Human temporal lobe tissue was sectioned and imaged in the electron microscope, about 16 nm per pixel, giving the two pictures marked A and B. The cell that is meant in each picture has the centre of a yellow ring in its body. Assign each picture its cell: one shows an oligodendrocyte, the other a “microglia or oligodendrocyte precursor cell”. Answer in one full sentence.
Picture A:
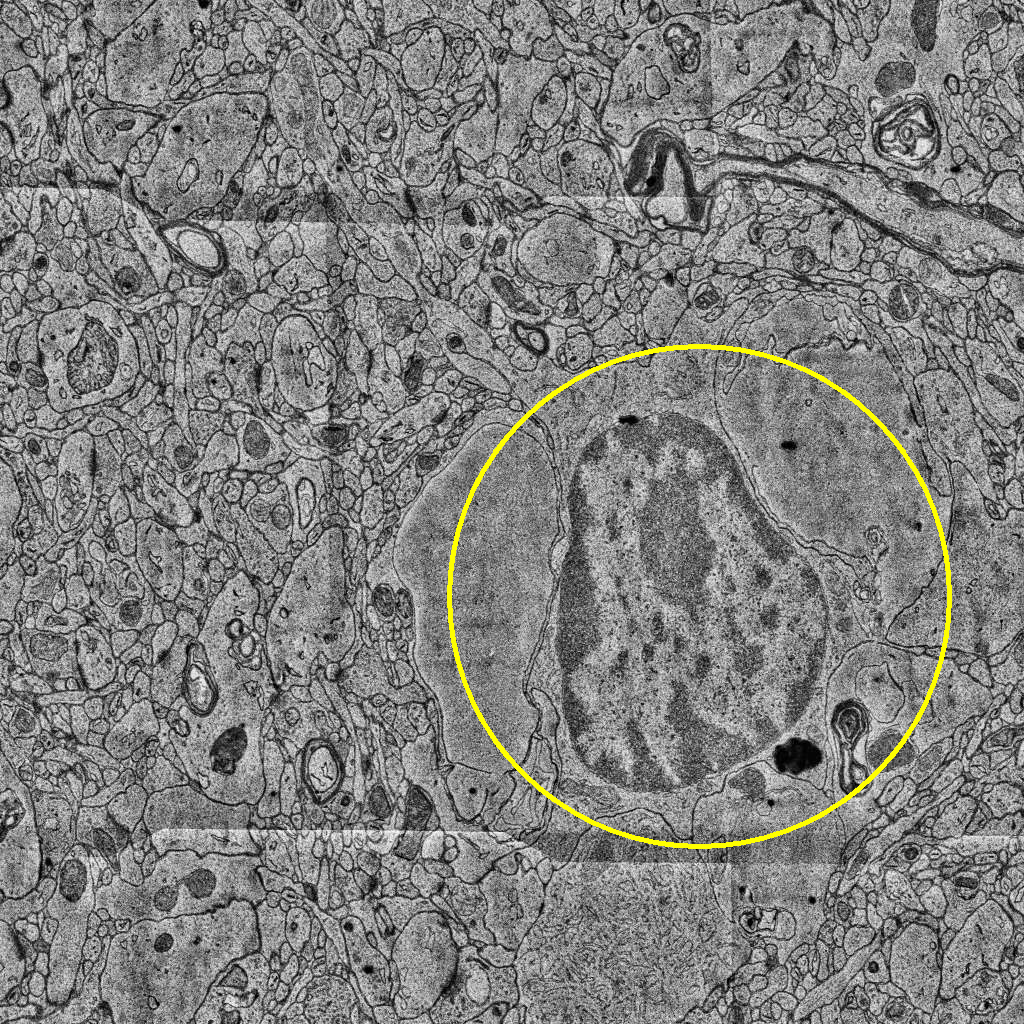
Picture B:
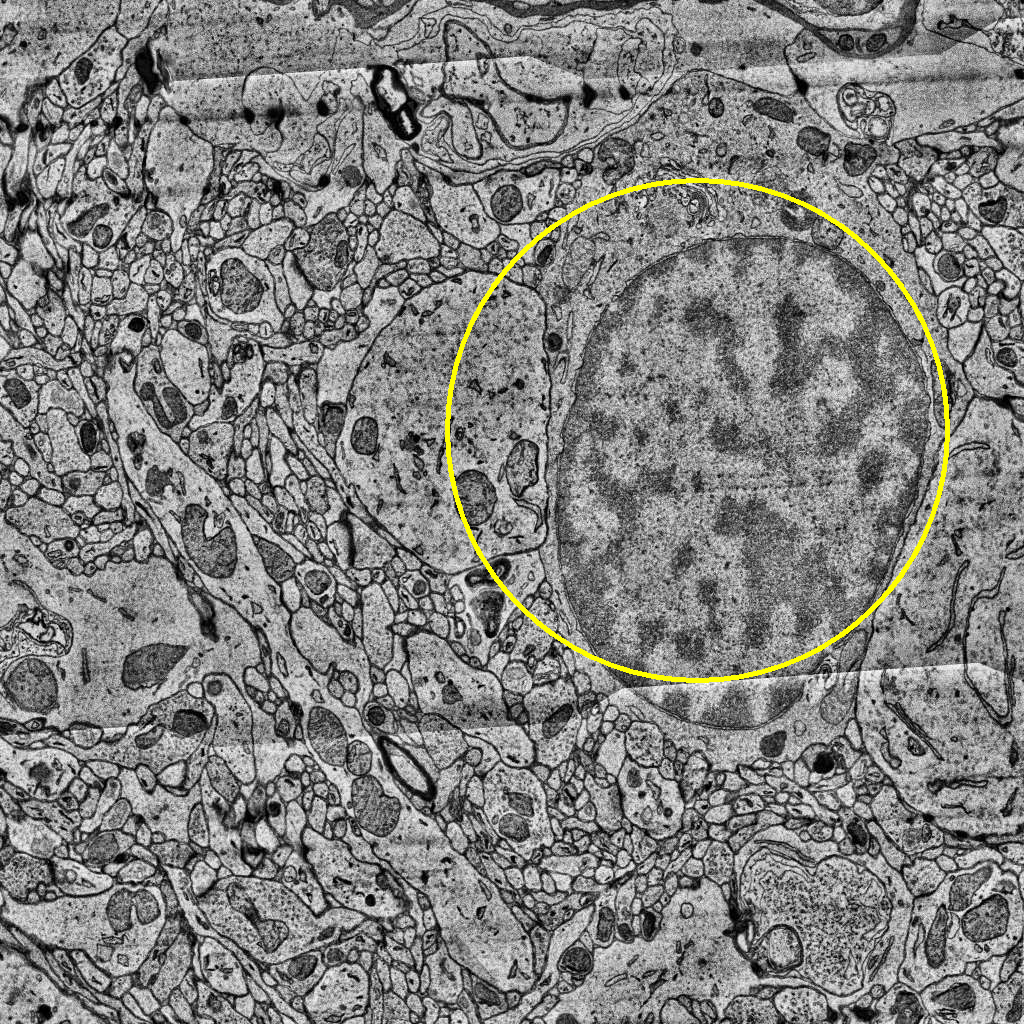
Picture A is of a “microglia or oligodendrocyte precursor cell”, and picture B is of an oligodendrocyte.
